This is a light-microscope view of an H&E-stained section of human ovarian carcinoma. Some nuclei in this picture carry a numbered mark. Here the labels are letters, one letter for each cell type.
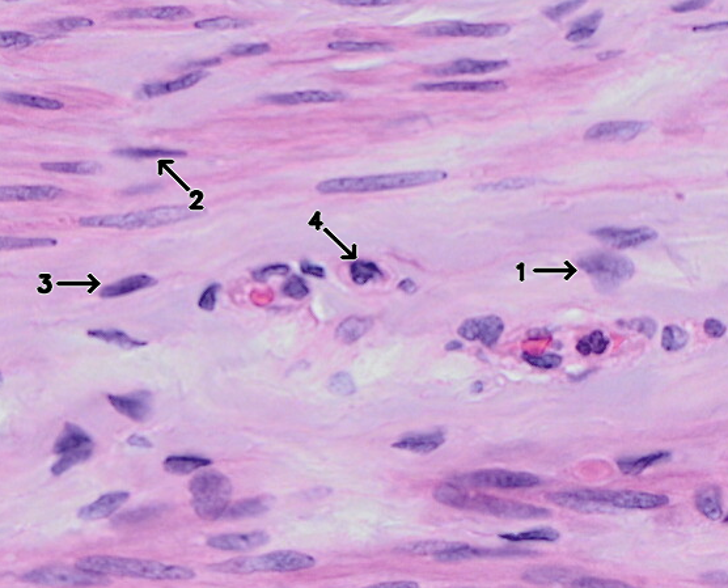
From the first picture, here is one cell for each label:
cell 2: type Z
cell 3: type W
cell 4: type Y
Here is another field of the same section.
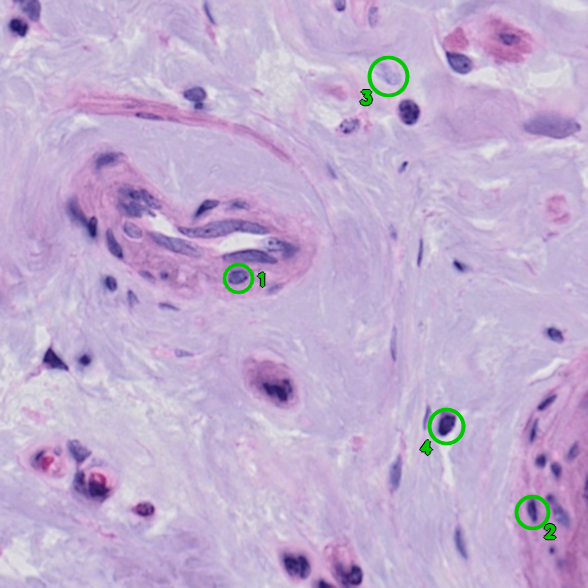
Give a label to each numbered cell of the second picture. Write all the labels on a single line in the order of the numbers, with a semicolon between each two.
type Z; type Z; type W; type Y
